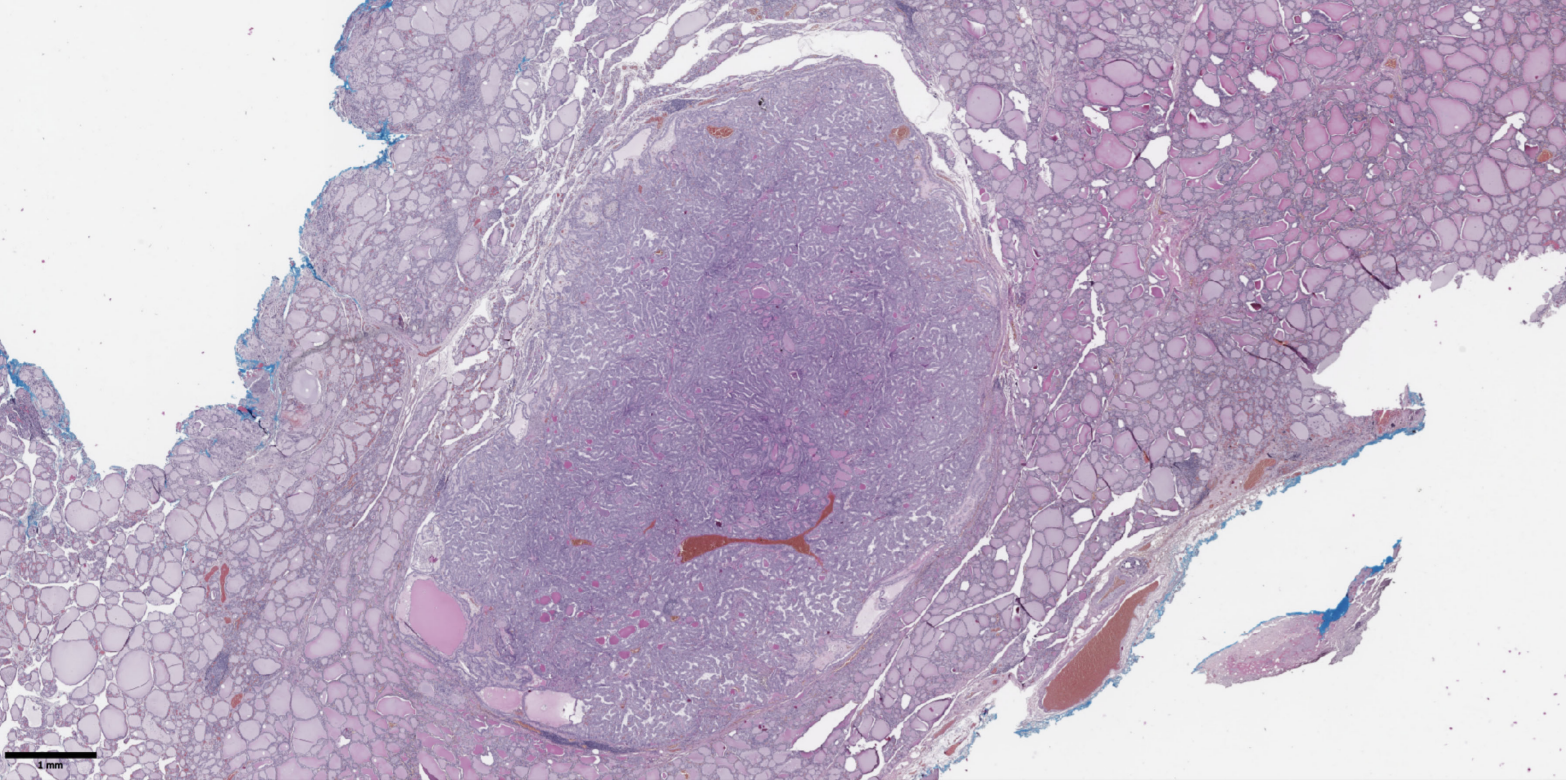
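Thyroid tissue at low power with a central, well-demarcated rounded tumor node within otherwise ordinary gland. The node is densely purple and made of small, tightly packed papillary and follicular structures. Only scattered small pink colloid droplets lie among them, and a few larger colloid-filled spaces sit at its lower edge. Compressed pale pink fibrous bands wrap around the node, separating it from the adjacent thyroid. The surrounding parenchyma consists of many rounded follicles of varying size, filled with pale pink colloid and lined by flat epithelium. Blue ink marks the specimen margins.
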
